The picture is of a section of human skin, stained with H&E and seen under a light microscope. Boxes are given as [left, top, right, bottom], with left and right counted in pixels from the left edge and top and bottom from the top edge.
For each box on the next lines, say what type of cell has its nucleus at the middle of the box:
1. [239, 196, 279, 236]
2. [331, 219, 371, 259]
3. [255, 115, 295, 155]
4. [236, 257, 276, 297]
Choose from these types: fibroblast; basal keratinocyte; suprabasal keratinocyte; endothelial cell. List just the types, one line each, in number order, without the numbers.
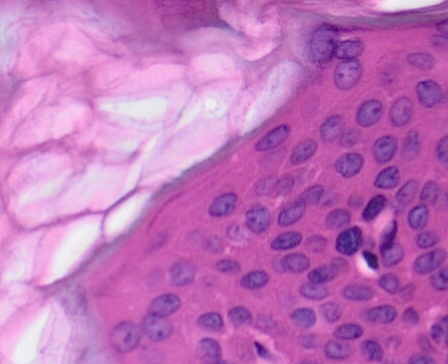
suprabasal keratinocyte
basal keratinocyte
suprabasal keratinocyte
suprabasal keratinocyte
